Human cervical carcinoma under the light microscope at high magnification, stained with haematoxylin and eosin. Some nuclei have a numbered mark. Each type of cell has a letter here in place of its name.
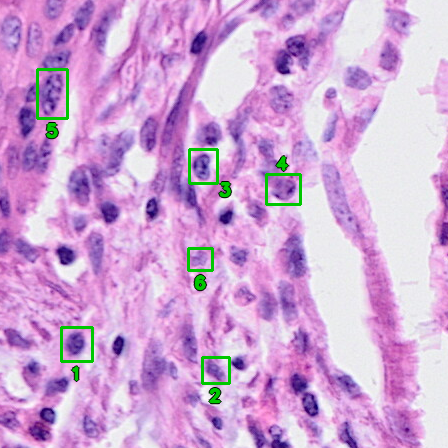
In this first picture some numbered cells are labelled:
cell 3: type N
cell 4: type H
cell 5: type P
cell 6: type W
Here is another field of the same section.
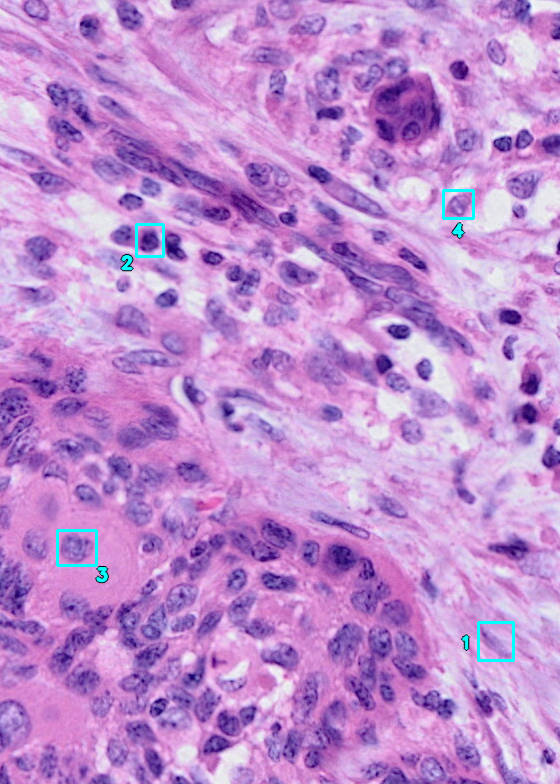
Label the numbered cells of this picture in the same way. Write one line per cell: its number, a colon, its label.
1: type W
2: type N
3: type P
4: type H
